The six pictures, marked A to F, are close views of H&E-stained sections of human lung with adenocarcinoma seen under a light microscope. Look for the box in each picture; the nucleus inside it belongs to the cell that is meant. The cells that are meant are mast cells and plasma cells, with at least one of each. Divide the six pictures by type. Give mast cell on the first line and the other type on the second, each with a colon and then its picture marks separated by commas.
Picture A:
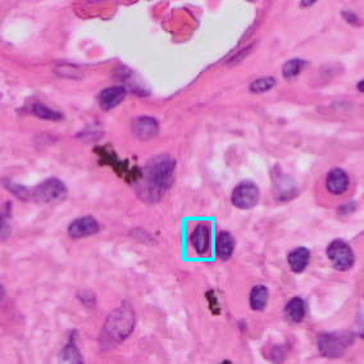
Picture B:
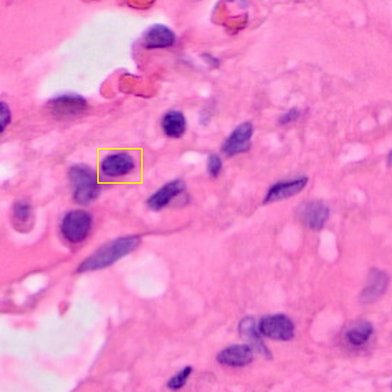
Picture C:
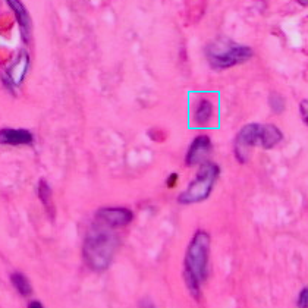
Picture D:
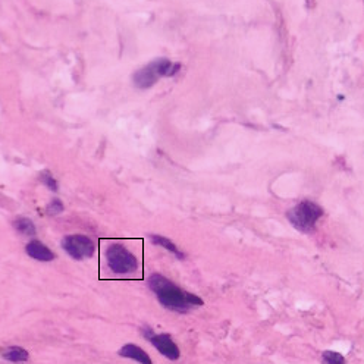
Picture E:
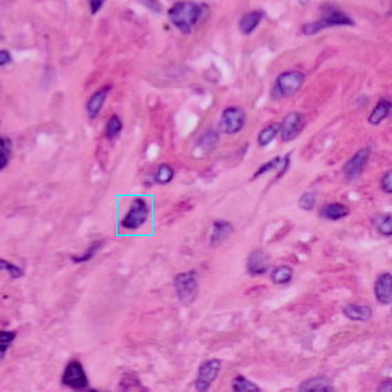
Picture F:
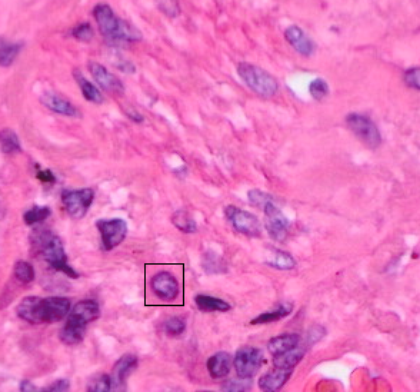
mast cell: B, C, E, F
plasma cell: A, D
